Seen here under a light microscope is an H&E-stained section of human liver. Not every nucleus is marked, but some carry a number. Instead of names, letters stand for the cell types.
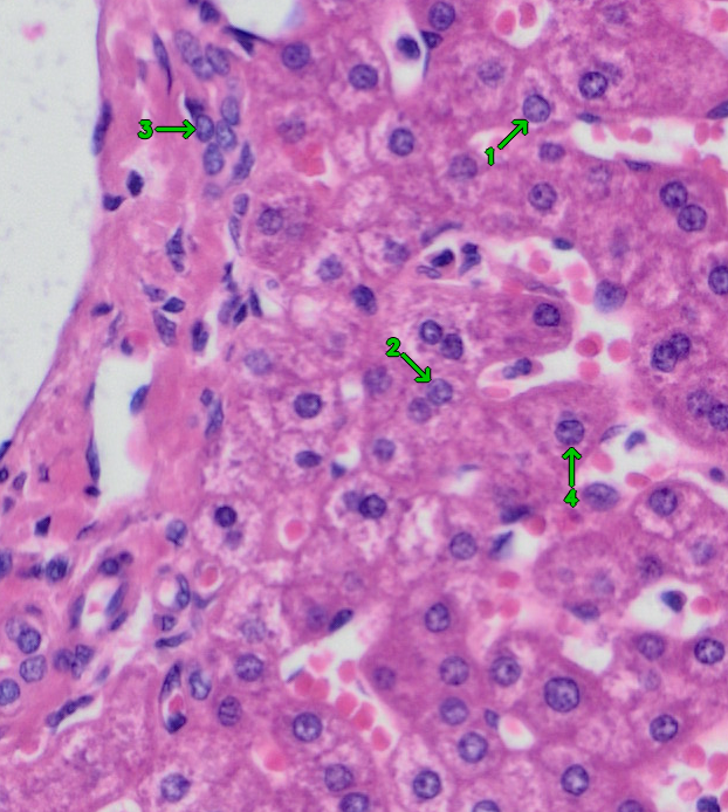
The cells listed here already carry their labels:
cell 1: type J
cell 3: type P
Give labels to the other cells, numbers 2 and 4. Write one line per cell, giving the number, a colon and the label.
2: type J
4: type J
